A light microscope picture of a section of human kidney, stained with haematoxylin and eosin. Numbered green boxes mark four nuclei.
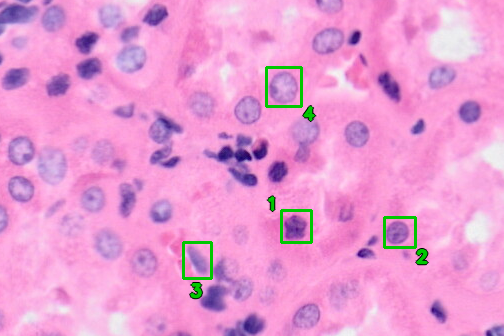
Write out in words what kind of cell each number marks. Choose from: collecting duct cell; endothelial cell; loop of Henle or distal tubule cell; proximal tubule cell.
Cells 1, 2 and 4 are proximal tubule cells. Cell 3 is an endothelial cell.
